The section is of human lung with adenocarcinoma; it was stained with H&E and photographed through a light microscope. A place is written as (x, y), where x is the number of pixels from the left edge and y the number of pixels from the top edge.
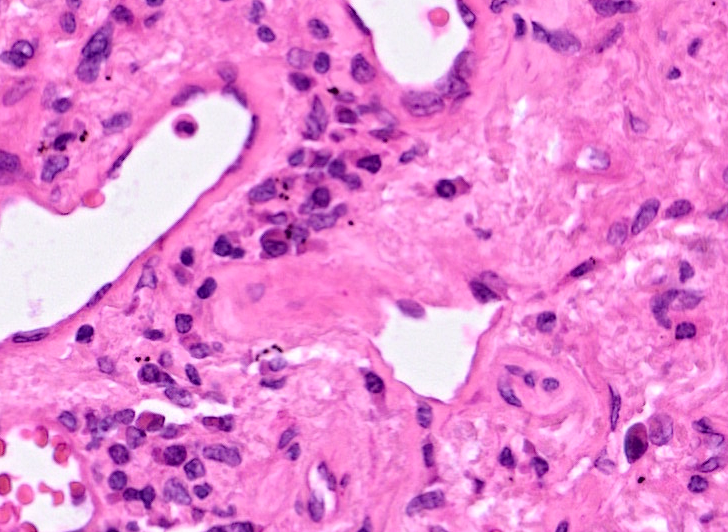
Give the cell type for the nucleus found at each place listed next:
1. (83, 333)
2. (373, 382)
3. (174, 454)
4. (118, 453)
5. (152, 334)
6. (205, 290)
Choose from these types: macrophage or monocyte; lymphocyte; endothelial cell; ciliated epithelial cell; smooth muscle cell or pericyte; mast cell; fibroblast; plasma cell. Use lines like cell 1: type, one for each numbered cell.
cell 1: lymphocyte
cell 2: plasma cell
cell 3: plasma cell
cell 4: plasma cell
cell 5: plasma cell
cell 6: lymphocyte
